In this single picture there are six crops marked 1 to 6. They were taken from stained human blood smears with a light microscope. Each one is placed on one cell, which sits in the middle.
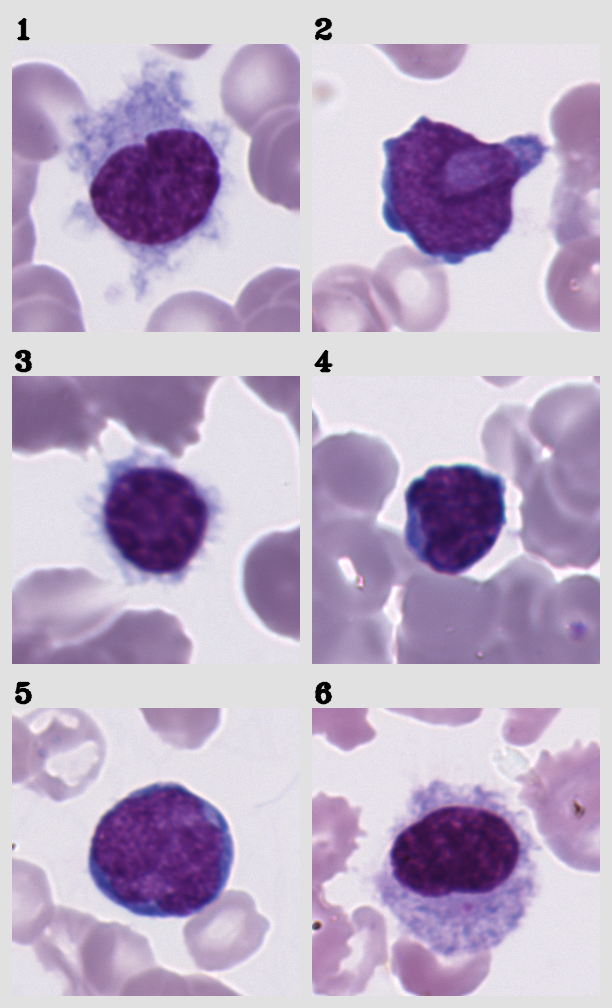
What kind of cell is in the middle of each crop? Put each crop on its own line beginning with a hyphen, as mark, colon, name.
- 1: hairy cell
- 2: myeloblast
- 3: hairy cell
- 4: typical lymphocyte
- 5: myeloblast
- 6: hairy cell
